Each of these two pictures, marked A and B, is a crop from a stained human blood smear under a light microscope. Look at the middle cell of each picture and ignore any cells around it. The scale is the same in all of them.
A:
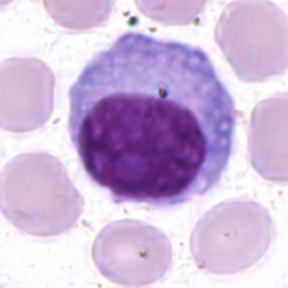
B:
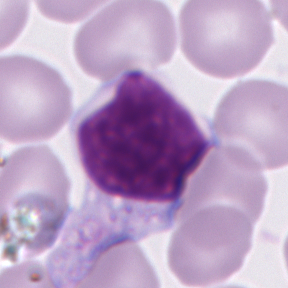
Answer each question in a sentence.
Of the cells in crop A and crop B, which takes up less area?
Crop B holds the smaller cell, since the cell in crop A covers about 1.5 times as much area.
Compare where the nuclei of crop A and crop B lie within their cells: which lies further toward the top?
The nucleus in crop B lies further toward the top of its cell.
